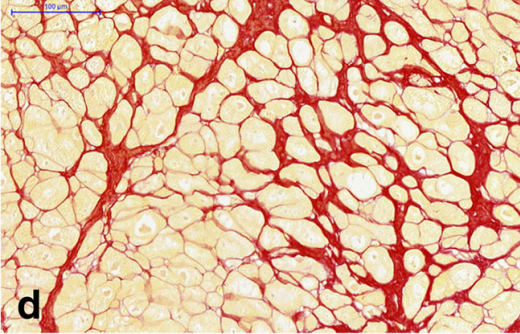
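Cross-sectioned myocardium with the myocytes seen as pale yellow, rounded or angular profiles, several showing a lighter central zone. The mix of thin interstitial outlines and denser red strands gives a web-like pattern across the muscle.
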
